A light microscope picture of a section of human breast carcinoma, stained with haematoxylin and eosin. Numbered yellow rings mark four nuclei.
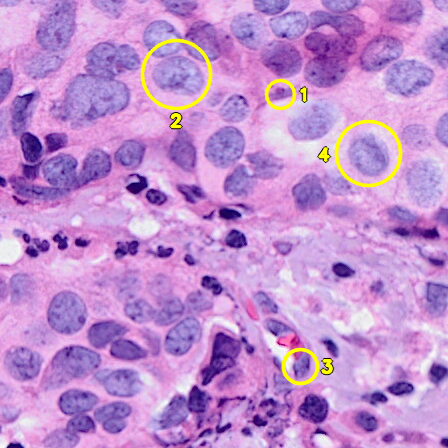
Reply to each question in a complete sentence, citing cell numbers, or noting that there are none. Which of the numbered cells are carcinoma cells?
The cells to which the numbers 1, 2 and 4 refer are carcinoma cells.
